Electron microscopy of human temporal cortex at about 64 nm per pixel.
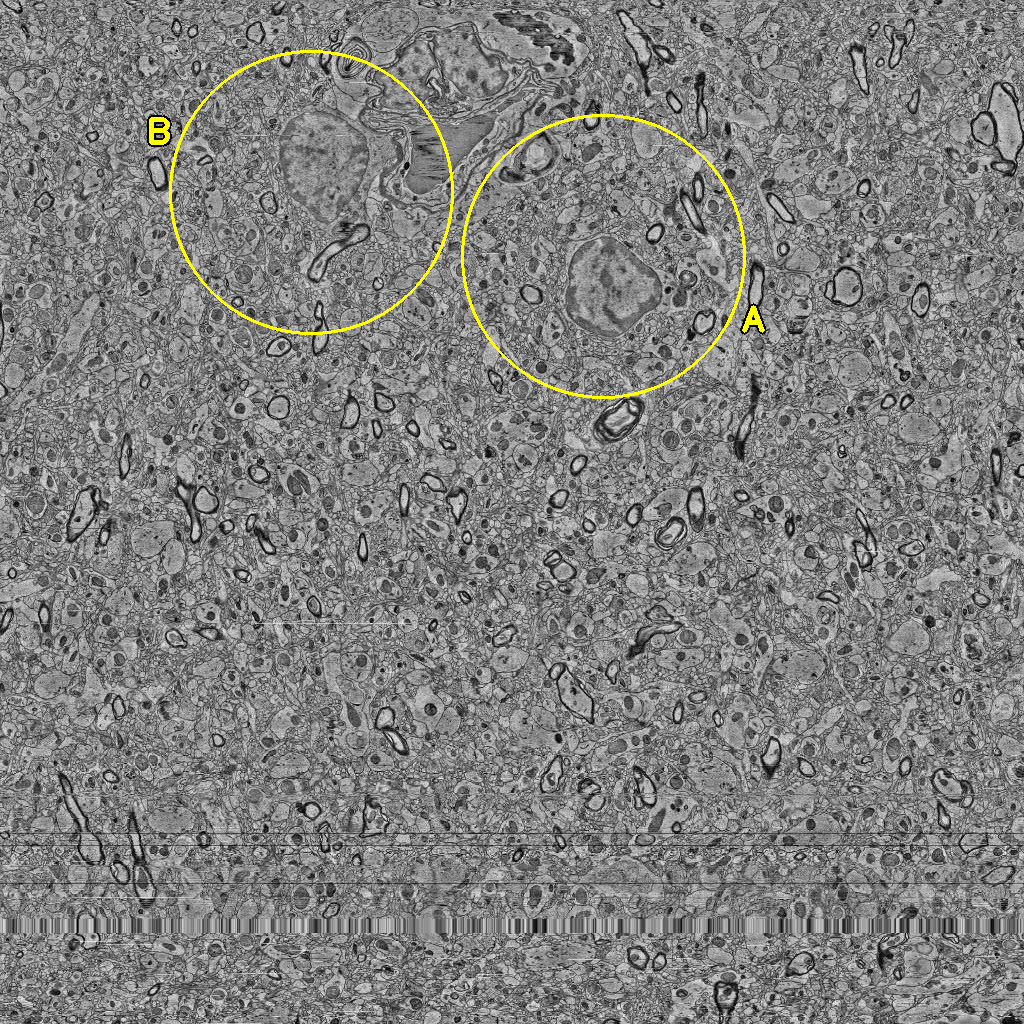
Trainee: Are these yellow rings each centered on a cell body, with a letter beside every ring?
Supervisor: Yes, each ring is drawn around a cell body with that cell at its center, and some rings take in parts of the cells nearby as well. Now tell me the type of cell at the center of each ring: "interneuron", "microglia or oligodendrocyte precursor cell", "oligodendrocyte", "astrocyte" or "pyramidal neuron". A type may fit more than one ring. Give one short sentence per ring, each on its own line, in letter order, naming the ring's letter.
Ring A has a microglial cell or oligodendrocyte precursor cell at its center.
Ring B has an oligodendrocyte at its center.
